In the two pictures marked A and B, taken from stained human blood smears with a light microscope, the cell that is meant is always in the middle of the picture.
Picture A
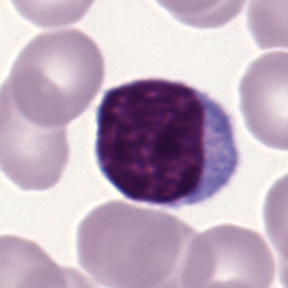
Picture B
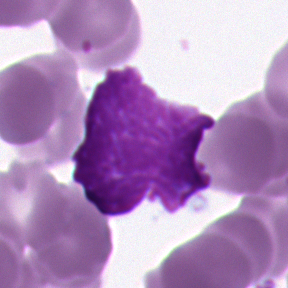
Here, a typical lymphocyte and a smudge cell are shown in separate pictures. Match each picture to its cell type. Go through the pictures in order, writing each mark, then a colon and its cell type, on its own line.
A: typical lymphocyte
B: smudge cell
